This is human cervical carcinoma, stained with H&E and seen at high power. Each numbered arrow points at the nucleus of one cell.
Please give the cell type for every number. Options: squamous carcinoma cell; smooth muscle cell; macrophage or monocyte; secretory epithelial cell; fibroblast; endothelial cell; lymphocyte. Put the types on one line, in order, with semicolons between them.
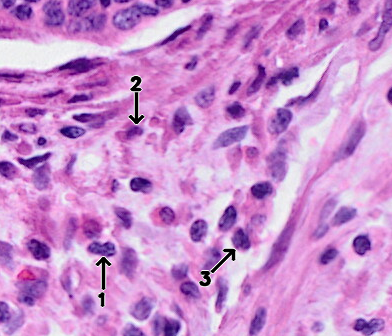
lymphocyte; fibroblast; lymphocyte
